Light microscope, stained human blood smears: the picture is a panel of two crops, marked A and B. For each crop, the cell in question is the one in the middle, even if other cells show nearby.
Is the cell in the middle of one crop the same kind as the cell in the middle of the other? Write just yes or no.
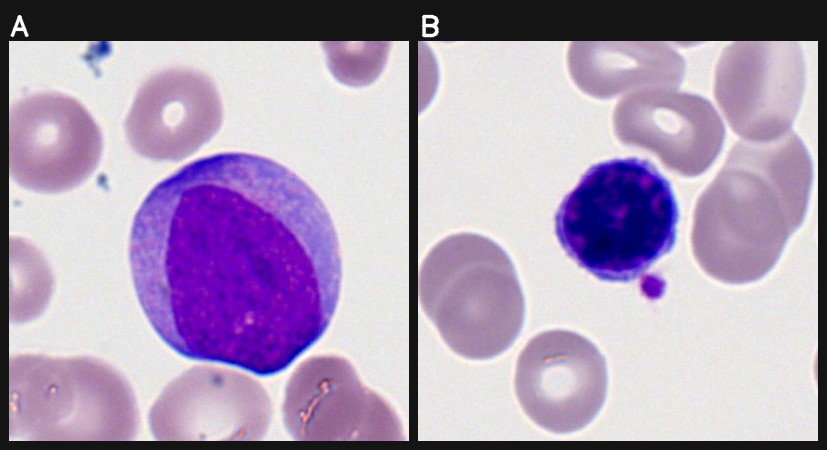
no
